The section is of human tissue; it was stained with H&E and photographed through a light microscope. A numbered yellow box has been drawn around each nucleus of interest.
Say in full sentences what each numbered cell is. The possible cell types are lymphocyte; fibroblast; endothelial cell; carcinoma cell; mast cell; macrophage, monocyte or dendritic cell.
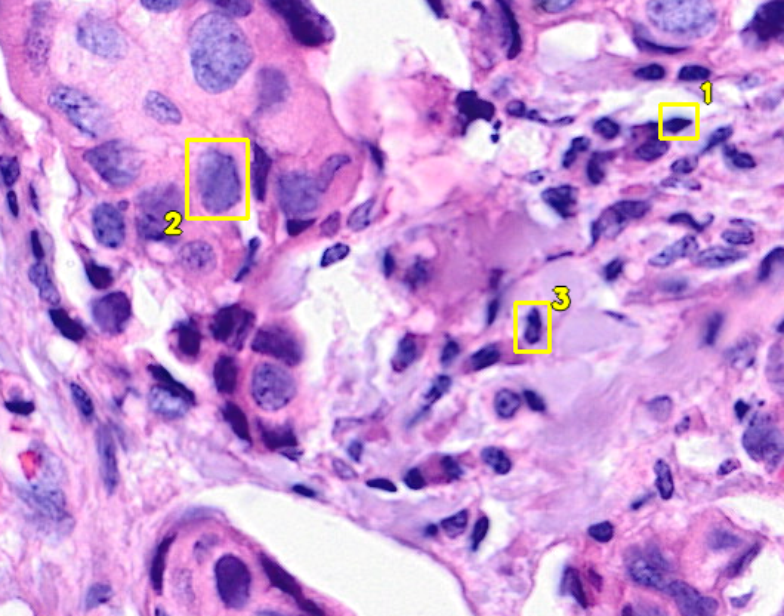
Cell 1 is a lymphocyte, cell 2 is a carcinoma cell and cell 3 is a lymphocyte.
